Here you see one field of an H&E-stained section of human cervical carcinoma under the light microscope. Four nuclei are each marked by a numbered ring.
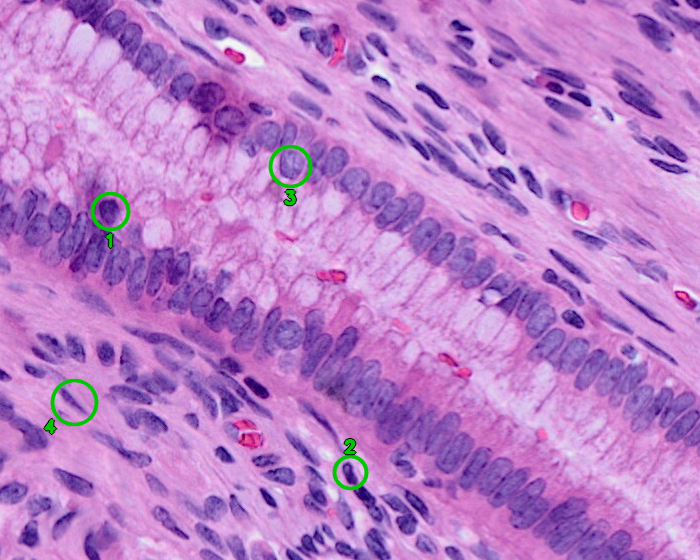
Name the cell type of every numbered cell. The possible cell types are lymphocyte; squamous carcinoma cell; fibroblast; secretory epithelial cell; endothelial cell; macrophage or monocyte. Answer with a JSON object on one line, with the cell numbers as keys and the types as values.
{"1": "secretory epithelial cell", "2": "lymphocyte", "3": "secretory epithelial cell", "4": "fibroblast"}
